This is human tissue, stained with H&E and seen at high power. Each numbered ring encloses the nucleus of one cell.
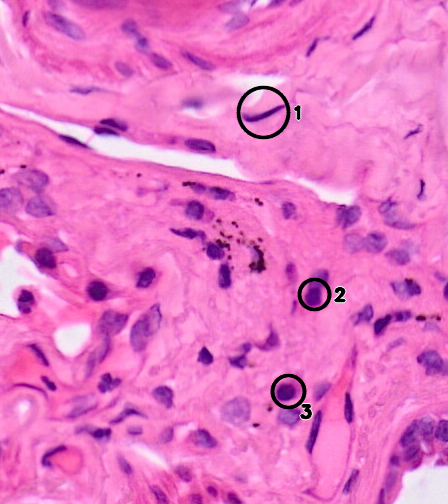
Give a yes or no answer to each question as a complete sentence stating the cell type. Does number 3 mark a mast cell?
No, the nucleus numbered 3 belongs to a plasma cell, not a mast cell.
